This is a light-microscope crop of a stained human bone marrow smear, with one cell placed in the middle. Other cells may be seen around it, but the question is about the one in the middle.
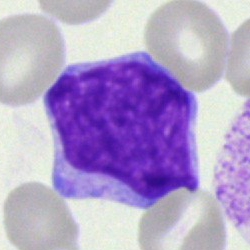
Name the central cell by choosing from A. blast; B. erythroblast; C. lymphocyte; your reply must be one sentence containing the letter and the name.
Option A holds, for the cell in the middle is a blast.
